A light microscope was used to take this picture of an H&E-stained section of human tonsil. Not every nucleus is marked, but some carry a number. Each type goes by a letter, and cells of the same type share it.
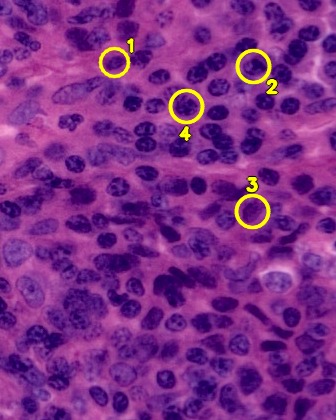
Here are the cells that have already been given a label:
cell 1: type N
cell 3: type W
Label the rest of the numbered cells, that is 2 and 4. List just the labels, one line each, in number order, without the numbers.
type N
type N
